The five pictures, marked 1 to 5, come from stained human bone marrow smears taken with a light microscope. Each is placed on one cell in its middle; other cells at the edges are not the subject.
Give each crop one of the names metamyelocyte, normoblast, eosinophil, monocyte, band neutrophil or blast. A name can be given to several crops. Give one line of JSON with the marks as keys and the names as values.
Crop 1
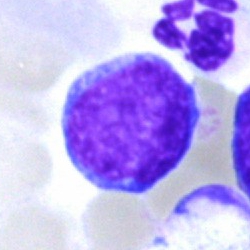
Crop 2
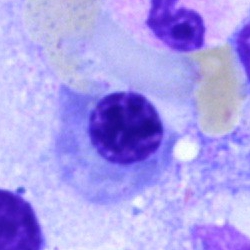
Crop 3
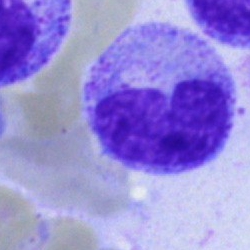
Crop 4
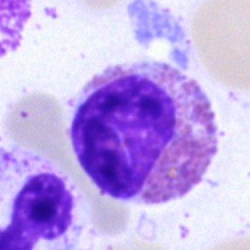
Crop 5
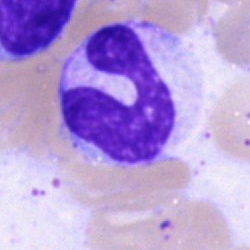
{"1": "blast", "2": "normoblast", "3": "metamyelocyte", "4": "eosinophil", "5": "band neutrophil"}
